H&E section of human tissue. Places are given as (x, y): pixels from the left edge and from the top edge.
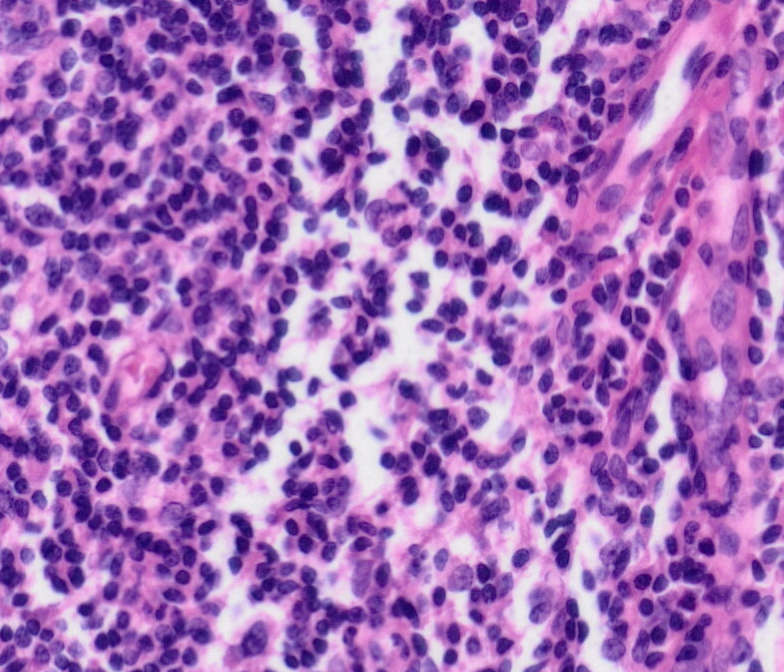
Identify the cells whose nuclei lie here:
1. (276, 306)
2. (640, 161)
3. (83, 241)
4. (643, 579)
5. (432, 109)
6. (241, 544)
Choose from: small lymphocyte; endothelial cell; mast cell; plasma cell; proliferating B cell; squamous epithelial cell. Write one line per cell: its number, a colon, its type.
1: small lymphocyte
2: endothelial cell
3: small lymphocyte
4: plasma cell
5: small lymphocyte
6: small lymphocyte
